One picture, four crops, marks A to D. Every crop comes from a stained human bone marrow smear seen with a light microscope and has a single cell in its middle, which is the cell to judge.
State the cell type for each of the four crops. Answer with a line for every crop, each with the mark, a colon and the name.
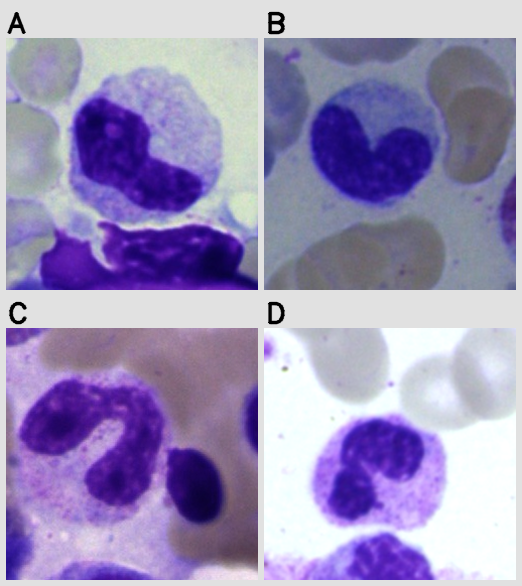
A: band neutrophil
B: band neutrophil
C: band neutrophil
D: segmented neutrophil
